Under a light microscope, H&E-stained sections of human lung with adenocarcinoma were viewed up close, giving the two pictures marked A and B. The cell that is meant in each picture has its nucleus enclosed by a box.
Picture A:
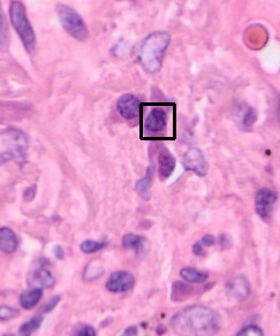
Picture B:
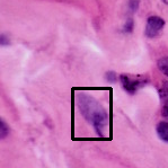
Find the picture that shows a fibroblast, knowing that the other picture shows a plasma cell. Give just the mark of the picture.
B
